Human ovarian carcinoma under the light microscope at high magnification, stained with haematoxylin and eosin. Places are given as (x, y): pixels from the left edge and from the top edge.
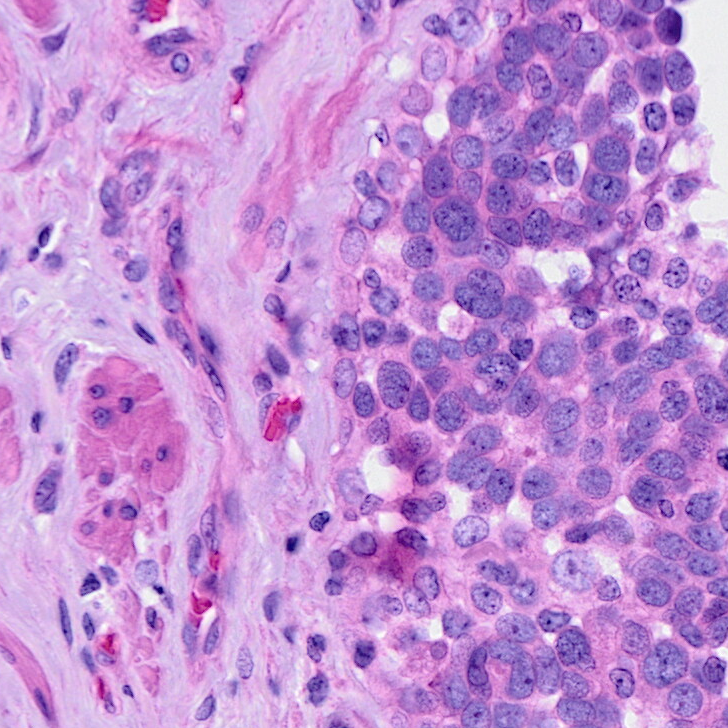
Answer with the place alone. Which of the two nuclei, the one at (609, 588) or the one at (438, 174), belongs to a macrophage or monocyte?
(609, 588)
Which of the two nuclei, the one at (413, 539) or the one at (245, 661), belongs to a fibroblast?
(245, 661)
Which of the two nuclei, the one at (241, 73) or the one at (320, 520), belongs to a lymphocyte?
(320, 520)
